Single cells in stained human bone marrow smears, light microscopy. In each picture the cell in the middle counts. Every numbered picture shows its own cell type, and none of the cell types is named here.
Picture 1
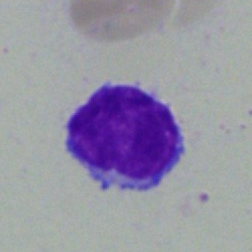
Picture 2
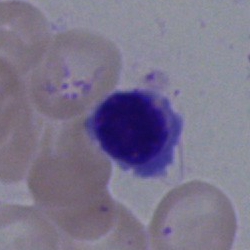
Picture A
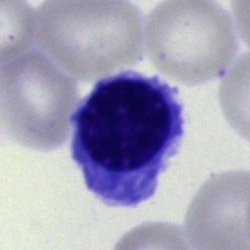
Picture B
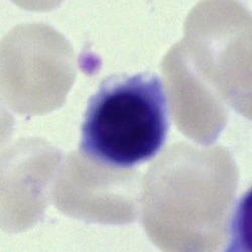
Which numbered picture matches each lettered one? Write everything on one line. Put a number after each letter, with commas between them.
A 2, B 2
